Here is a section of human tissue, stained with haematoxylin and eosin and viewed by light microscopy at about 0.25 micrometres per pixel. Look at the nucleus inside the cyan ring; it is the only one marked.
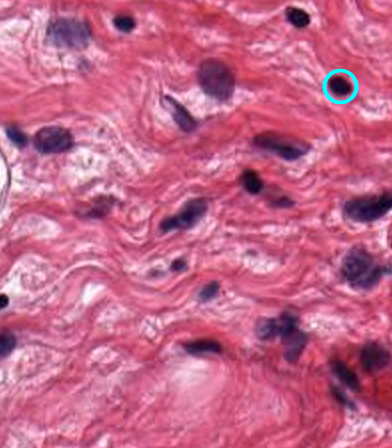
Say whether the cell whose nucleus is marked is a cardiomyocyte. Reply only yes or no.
no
